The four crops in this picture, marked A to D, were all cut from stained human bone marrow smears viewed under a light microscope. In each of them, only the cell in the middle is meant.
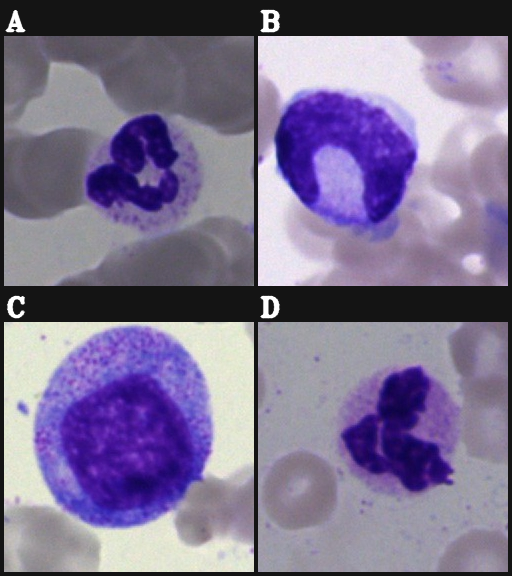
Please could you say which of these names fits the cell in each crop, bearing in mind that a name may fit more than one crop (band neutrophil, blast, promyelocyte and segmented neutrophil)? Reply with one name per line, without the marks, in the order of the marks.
segmented neutrophil
band neutrophil
promyelocyte
segmented neutrophil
